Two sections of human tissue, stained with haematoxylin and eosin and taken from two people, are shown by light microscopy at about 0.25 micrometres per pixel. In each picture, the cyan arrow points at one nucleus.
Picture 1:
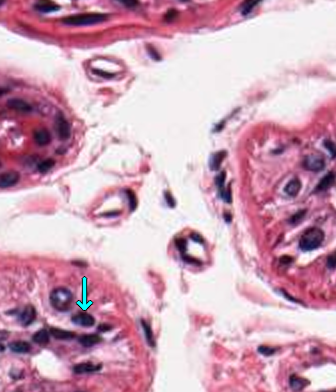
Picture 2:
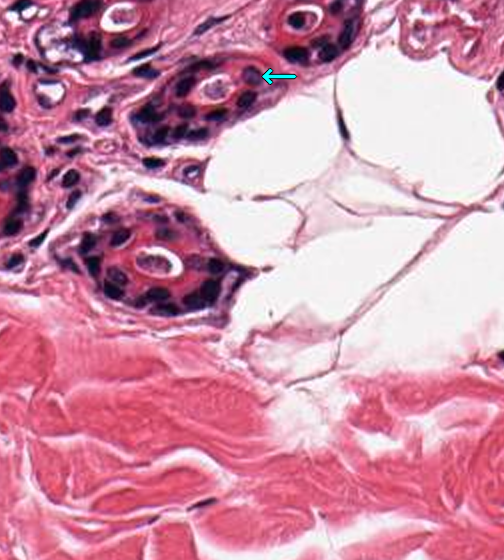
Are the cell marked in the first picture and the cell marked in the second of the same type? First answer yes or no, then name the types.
Yes, both are sweat gland cells.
